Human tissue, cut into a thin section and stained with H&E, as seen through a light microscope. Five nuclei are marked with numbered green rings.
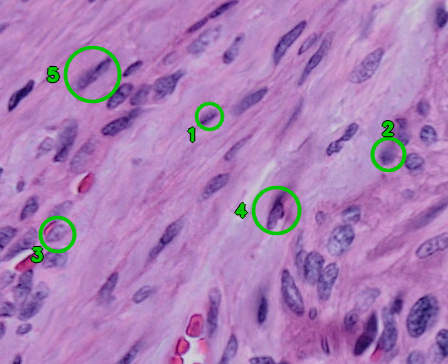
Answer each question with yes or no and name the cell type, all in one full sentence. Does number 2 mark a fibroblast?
No, cell 2 is not to be taken for a fibroblast; it is a smooth muscle cell.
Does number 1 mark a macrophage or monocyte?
No, the cell carrying number 1 is a smooth muscle cell rather than a macrophage or monocyte.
